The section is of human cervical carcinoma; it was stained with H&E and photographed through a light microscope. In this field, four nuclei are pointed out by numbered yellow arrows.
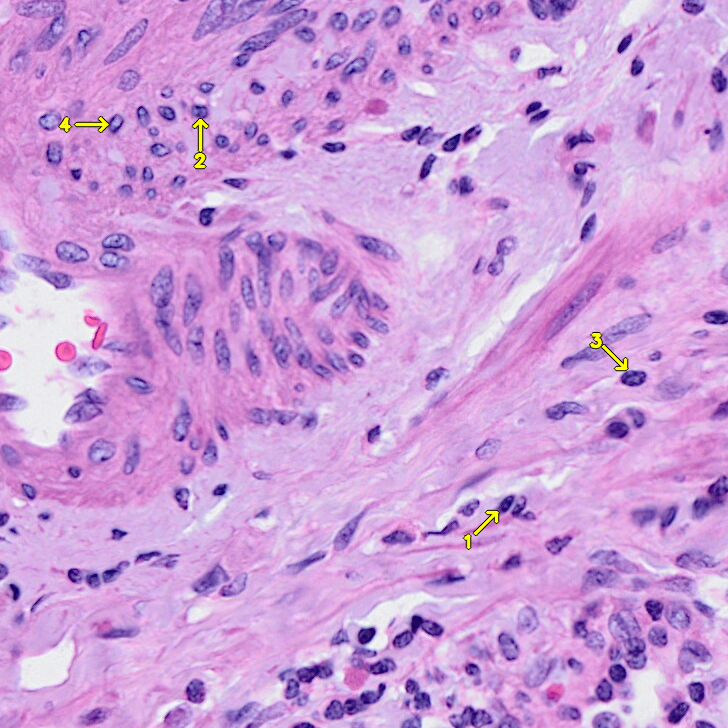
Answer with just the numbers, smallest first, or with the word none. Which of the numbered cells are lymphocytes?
1, 3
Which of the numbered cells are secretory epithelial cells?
none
